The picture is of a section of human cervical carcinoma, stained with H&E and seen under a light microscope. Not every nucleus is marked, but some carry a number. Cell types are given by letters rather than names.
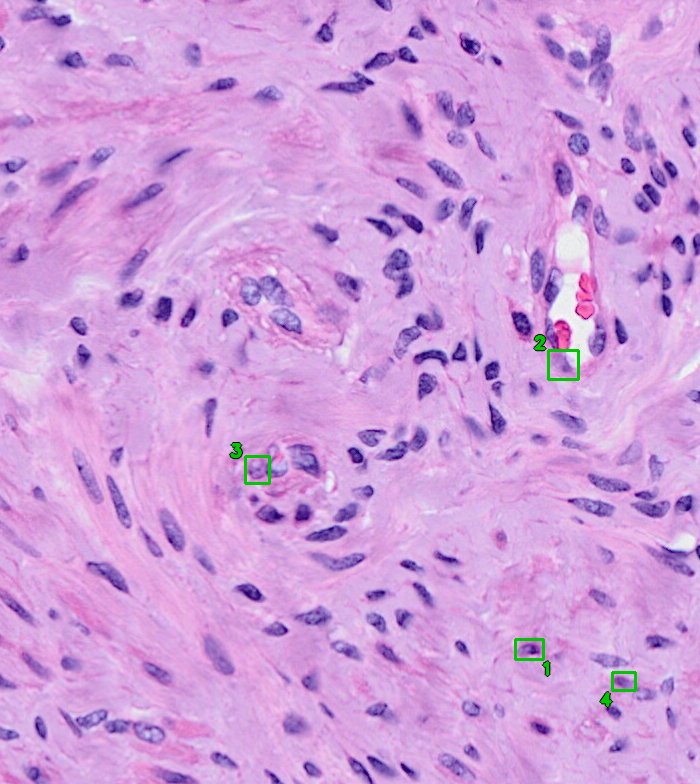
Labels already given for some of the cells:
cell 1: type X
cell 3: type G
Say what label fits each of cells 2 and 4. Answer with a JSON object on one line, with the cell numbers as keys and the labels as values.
{"2": "type G", "4": "type X"}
